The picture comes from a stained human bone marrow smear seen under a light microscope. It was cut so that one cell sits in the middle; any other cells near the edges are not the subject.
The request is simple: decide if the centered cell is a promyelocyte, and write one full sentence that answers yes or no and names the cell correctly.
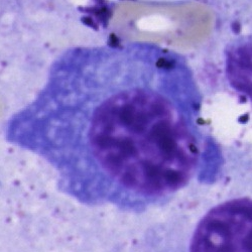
No, what the centre of the crop shows is a plasma cell, not a promyelocyte.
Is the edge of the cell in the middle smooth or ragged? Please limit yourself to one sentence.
Smoothness is lacking at the edge, which is ragged in places or drawn into projections.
